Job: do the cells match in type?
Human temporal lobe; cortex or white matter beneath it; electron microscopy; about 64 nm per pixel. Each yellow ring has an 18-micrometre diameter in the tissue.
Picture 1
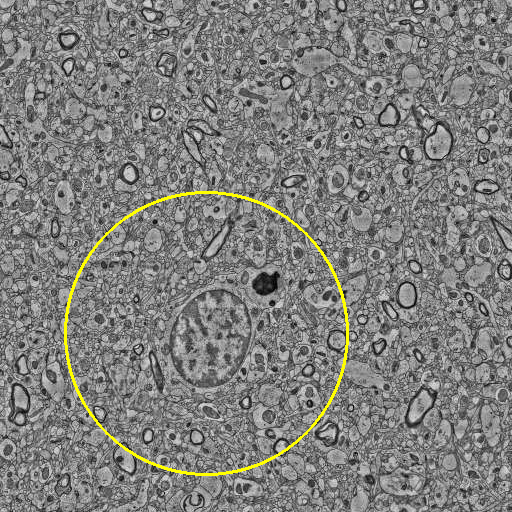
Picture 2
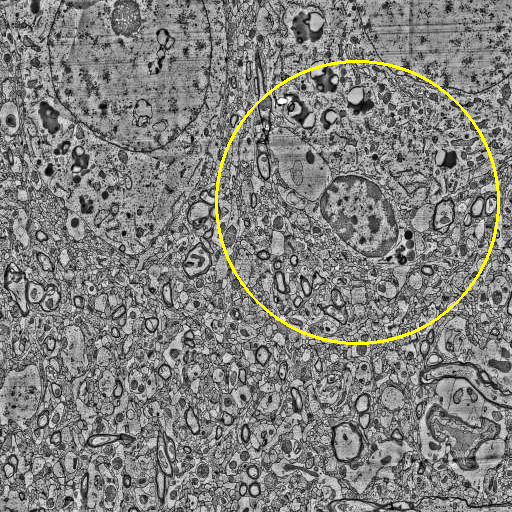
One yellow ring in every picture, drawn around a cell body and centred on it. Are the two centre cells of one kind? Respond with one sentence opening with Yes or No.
No, the ringed cells in the two pictures are of two separate kinds.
